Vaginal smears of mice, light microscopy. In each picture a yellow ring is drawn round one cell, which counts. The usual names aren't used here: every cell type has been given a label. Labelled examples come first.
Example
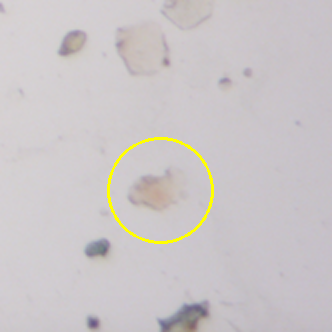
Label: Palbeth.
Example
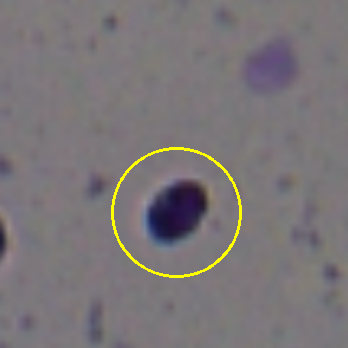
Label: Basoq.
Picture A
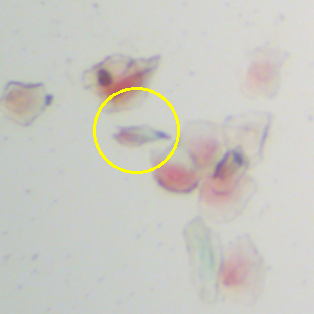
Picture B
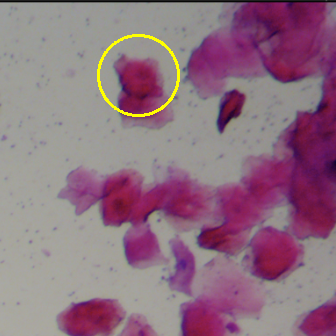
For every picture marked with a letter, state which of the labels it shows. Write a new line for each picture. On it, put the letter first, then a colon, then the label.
A: Palbeth.
B: Palbeth.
